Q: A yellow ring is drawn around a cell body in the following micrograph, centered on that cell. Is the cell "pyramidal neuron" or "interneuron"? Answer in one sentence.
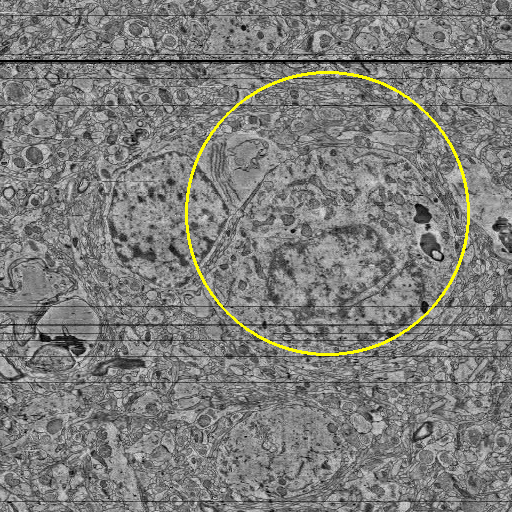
The cell in the center of the ring is an interneuron.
